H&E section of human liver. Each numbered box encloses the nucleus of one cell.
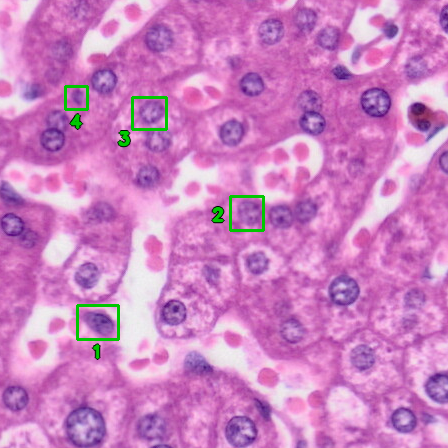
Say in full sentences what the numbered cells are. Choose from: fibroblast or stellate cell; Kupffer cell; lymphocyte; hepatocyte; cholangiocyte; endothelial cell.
Cell 1 is a Kupffer cell. Cells 2 and 3 are hepatocytes. Cell 4 is a fibroblast or stellate cell.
